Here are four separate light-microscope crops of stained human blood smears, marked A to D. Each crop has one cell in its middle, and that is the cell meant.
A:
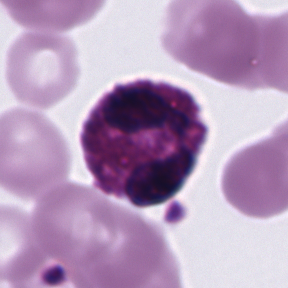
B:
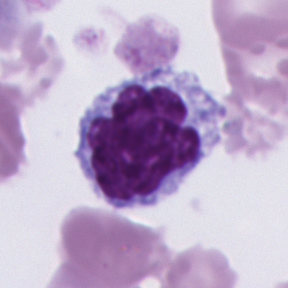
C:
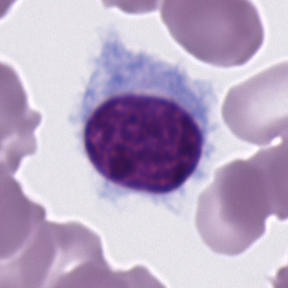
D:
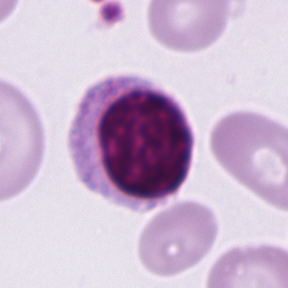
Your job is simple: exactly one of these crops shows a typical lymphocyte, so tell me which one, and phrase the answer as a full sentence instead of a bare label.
The crop that has a typical lymphocyte in the middle is crop B.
